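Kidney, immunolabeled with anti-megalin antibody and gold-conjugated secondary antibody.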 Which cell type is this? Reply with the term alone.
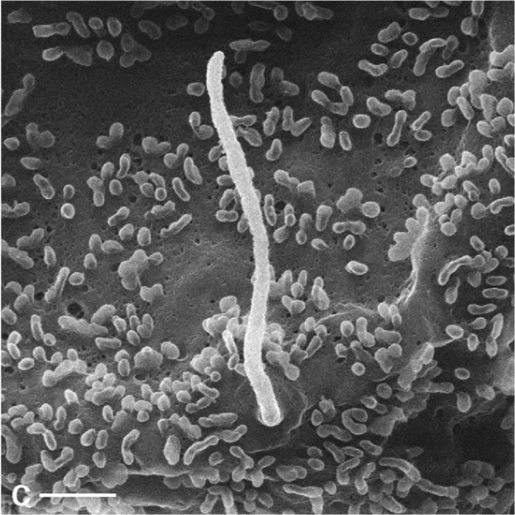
collecting duct principal cell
